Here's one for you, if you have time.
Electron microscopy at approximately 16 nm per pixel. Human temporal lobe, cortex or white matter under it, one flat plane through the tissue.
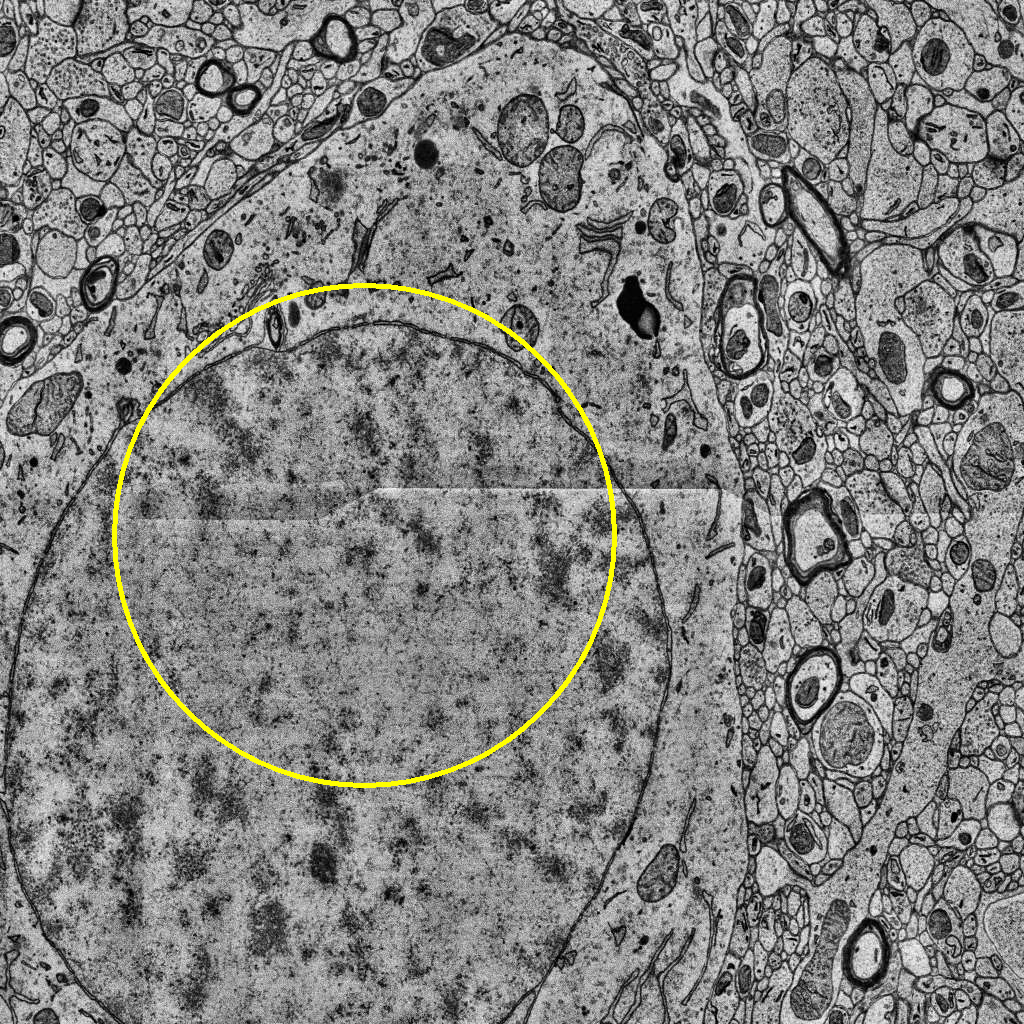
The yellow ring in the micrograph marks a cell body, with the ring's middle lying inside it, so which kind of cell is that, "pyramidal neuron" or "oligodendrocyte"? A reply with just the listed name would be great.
pyramidal neuron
